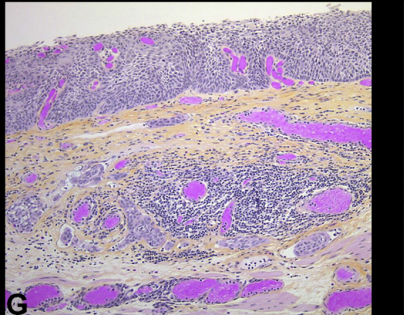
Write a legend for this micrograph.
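The upper part shows squamous epithelium replaced by carcinoma in situ, with crowded, darkly stained, disordered nuclei across its thickness. Beneath it lies the lamina propria, a band of yellow-orange connective tissue. Within this underlying tissue are clusters of purple tumor cells and dense collections of small dark cells, with rounded spaces holding bright magenta red blood cells. These tumor clusters within vascular spaces represent lymphovascular invasion. Bright pink vessels and muscle bundles appear at the bottom edge.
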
